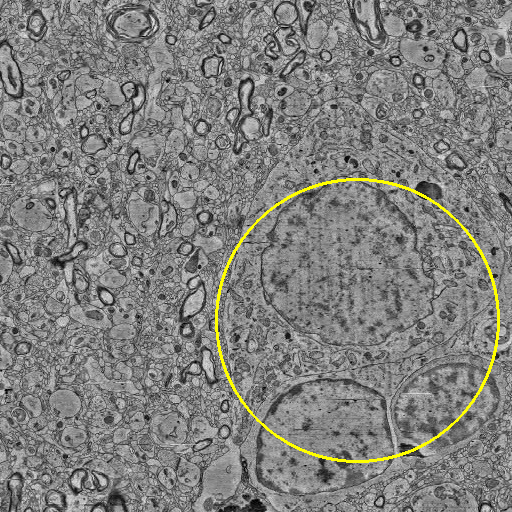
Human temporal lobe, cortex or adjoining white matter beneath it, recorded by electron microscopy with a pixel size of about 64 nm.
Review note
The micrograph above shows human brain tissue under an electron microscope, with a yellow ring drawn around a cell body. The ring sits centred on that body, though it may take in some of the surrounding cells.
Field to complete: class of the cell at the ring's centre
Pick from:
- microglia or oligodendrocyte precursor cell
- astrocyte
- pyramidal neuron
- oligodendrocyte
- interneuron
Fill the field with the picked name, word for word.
interneuron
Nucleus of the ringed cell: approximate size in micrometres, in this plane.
In this plane, approximately 12 micrometres across.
